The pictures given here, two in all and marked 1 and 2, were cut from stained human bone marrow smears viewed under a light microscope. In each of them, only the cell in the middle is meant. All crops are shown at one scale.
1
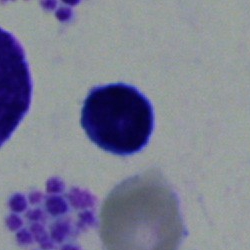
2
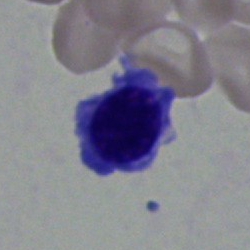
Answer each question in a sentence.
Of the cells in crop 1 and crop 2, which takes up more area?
The cell in crop 2 is larger, with about 1.5 times the area of the one in crop 1.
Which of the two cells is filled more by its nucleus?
The nucleus fills more of the cell in crop 1 than in crop 2.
